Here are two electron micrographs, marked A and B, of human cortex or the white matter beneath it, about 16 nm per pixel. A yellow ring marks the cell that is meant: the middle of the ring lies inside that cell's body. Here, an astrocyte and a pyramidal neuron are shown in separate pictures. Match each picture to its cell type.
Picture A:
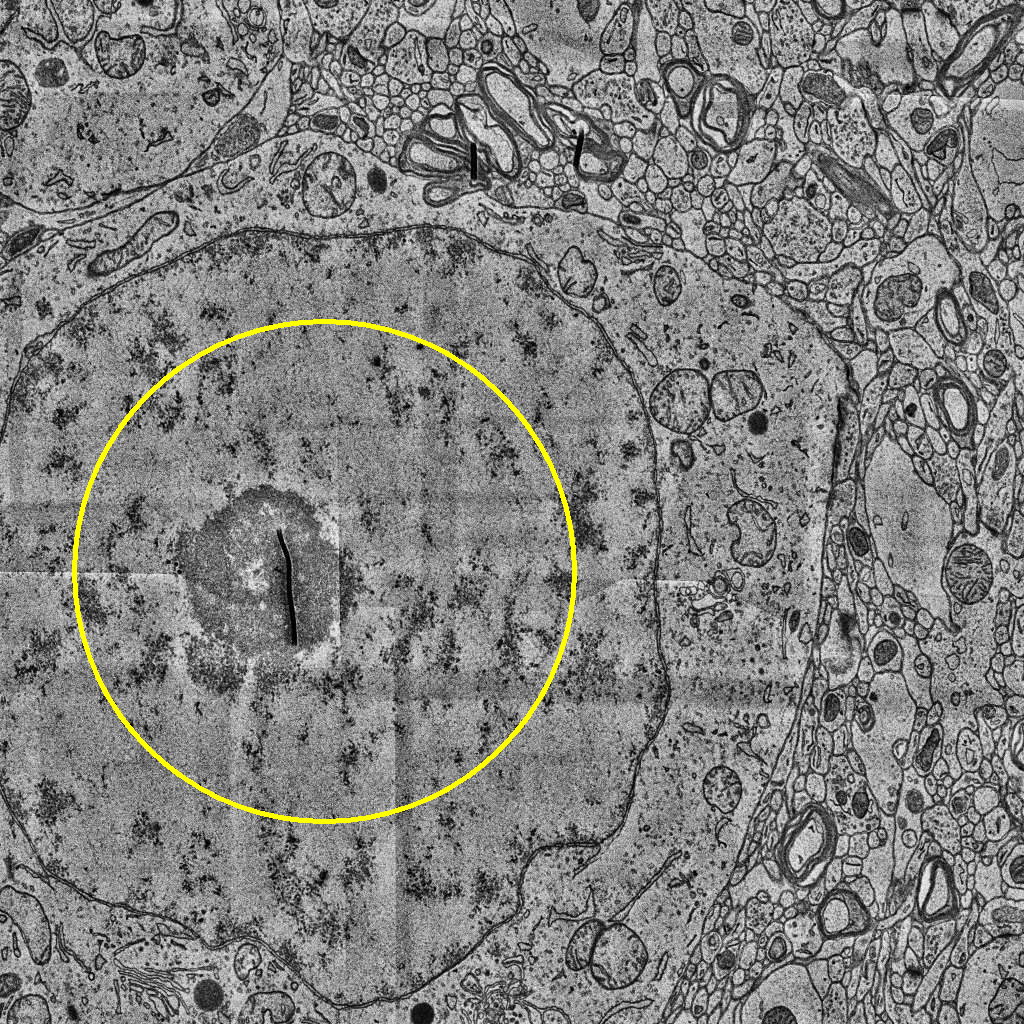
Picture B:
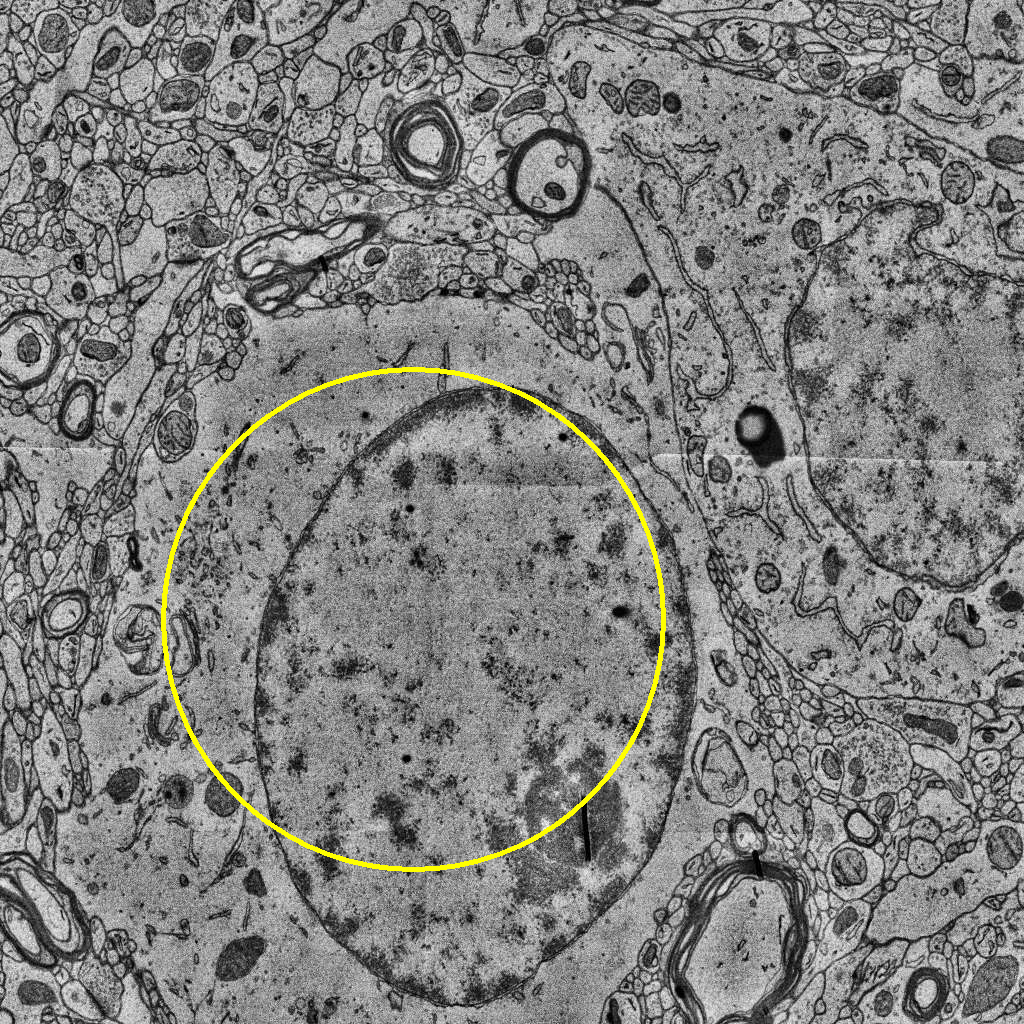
The cell in picture A is a pyramidal neuron, and the one in picture B is an astrocyte.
